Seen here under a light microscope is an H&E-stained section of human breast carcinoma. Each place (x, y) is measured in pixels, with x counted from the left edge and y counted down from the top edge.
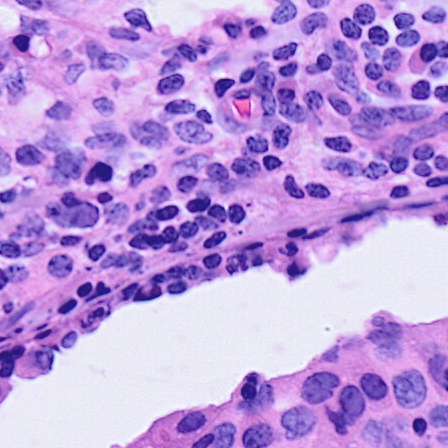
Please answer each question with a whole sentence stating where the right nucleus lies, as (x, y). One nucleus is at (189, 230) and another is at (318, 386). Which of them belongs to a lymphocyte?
Answering which nucleus it is: the one at (189, 230), belonging to a lymphocyte.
